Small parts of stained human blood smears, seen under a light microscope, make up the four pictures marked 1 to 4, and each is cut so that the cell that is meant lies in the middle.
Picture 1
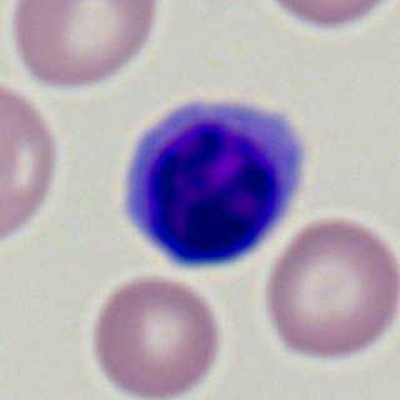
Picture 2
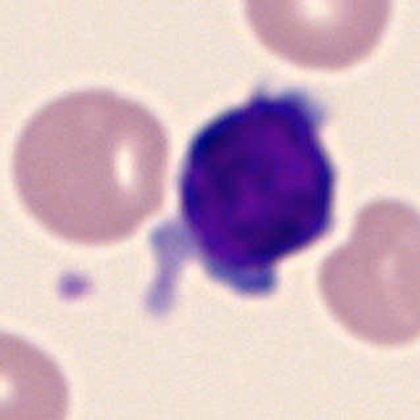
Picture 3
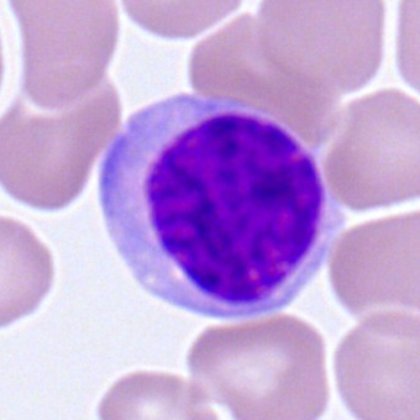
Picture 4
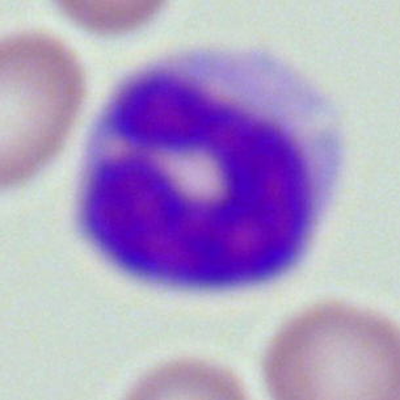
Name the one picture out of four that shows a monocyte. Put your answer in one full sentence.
Picture 4 is the one that shows the monocyte.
